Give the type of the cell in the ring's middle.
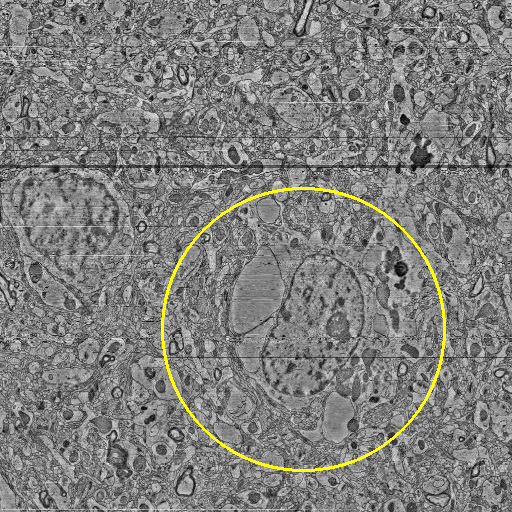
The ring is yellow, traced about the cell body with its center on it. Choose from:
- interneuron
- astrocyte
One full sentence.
Here, an astrocyte is the cell lying at the center of the yellow ring.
